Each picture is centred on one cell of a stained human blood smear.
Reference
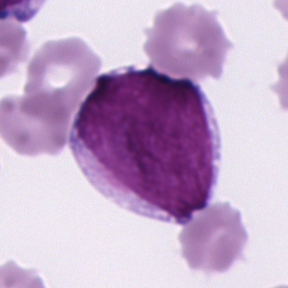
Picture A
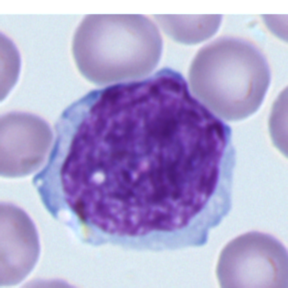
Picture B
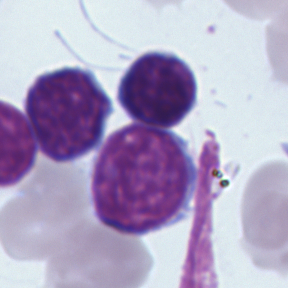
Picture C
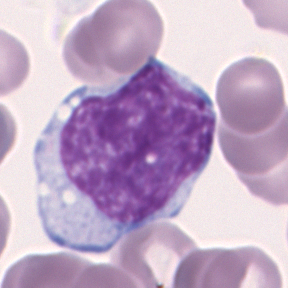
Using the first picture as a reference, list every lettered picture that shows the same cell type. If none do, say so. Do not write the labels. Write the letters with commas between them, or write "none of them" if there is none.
A, B, C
